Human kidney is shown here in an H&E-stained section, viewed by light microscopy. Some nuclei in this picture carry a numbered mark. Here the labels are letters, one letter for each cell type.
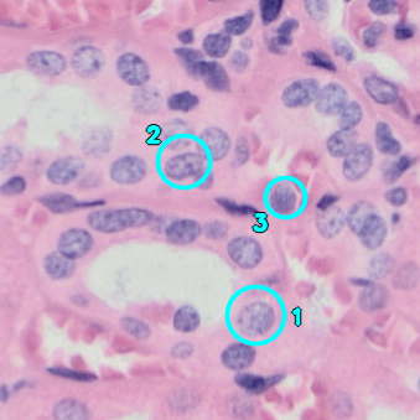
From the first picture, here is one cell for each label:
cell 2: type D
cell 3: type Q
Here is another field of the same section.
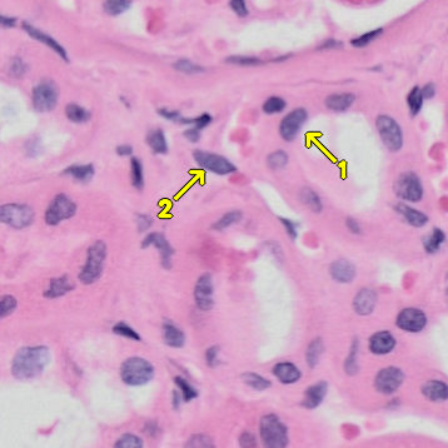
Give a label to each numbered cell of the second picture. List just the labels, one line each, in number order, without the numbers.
type D
type Q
